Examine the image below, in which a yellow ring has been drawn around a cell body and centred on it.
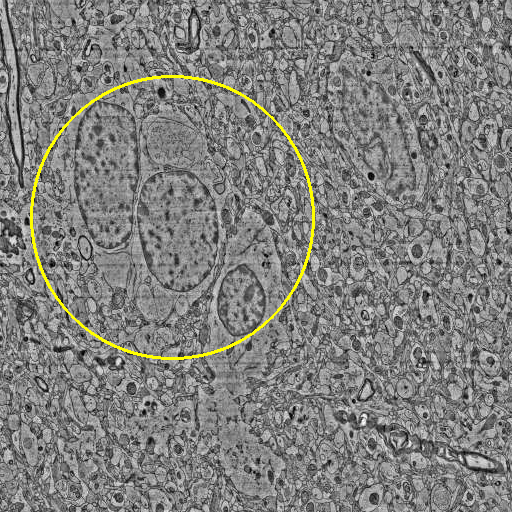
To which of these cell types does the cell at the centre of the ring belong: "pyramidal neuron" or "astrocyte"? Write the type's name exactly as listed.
astrocyte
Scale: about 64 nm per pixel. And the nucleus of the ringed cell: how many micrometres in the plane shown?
The nucleus is about 8 micrometres in length and 5 in width, clearly longer than it is wide in this plane.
